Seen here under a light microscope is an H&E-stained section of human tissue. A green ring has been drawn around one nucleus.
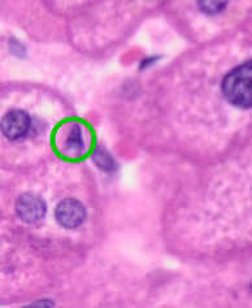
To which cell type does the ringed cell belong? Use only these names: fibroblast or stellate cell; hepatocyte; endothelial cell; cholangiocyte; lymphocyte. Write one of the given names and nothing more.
fibroblast or stellate cell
